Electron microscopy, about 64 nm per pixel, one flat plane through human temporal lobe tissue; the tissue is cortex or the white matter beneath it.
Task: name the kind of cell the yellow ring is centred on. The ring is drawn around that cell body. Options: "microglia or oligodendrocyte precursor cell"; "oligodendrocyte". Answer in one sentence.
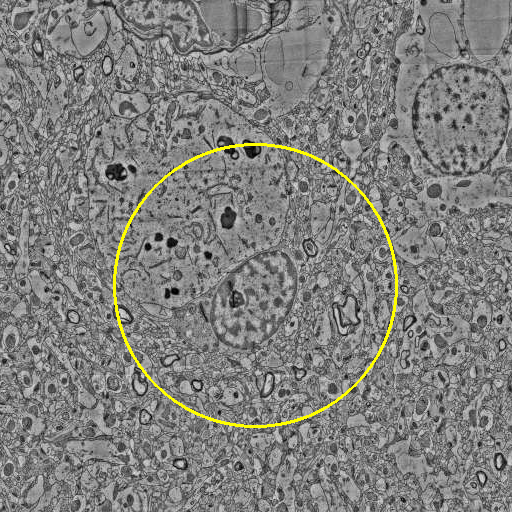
This cell body belongs to an oligodendrocyte.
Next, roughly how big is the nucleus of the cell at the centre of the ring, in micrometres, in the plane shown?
The ringed cell's nucleus measures approximately 7 by 5 micrometres in this plane.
